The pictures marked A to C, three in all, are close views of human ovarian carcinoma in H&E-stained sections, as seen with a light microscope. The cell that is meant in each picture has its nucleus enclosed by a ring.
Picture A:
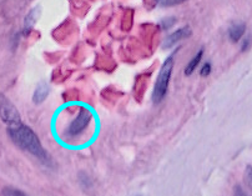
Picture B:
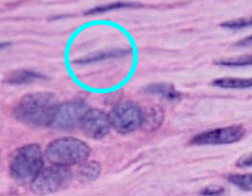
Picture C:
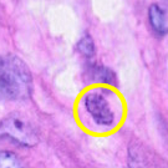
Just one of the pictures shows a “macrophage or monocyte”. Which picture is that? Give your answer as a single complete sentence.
The picture with the “macrophage or monocyte” is C.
